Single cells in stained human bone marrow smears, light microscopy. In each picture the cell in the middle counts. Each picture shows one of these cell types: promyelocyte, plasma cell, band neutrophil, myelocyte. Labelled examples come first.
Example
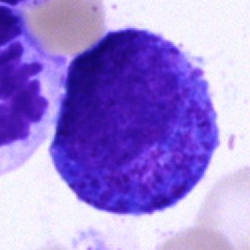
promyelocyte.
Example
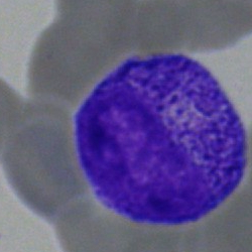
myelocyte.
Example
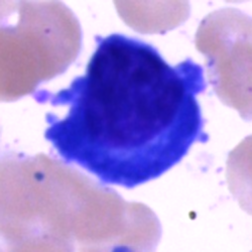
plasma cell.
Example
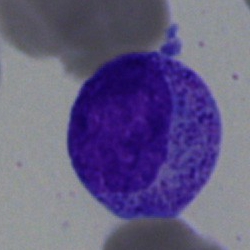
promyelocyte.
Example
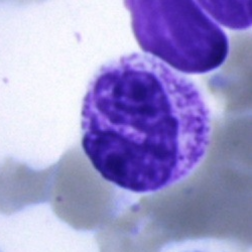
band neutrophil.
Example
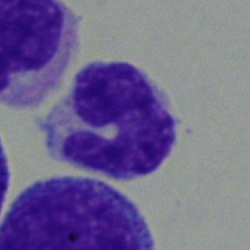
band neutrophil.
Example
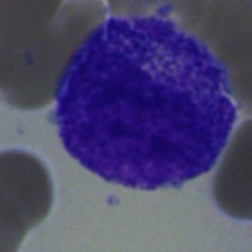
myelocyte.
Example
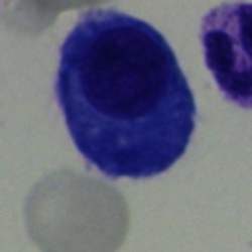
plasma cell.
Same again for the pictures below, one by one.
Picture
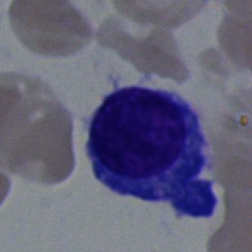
plasma cell.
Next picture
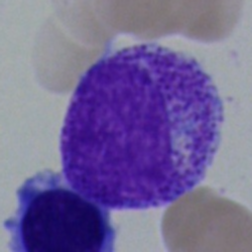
myelocyte.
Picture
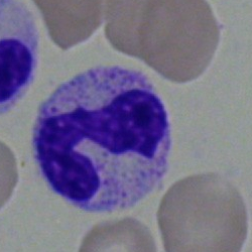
band neutrophil.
